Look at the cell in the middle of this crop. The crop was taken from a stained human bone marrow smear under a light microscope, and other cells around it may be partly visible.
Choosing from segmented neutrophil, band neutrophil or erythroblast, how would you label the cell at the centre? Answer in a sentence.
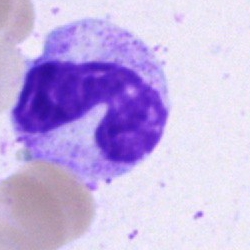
The centrally positioned cell in the crop represents a band neutrophil.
